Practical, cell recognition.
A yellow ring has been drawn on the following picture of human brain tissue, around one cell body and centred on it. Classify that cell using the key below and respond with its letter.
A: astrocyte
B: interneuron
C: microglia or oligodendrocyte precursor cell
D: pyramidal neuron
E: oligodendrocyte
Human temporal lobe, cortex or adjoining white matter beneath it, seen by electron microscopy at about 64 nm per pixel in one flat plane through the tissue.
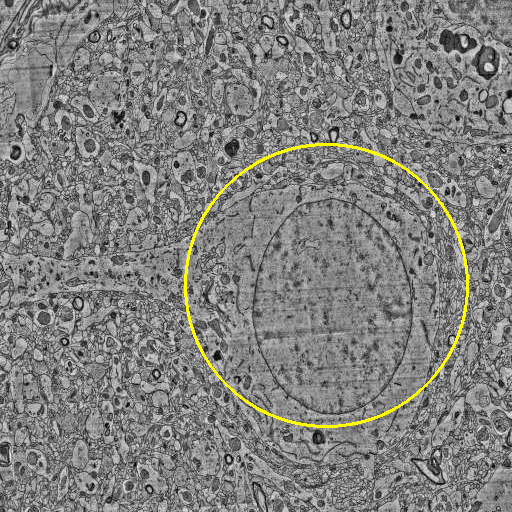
D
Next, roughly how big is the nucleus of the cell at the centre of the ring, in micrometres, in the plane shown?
Approximately 14 micrometres long and 10 micrometres wide, in this plane.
